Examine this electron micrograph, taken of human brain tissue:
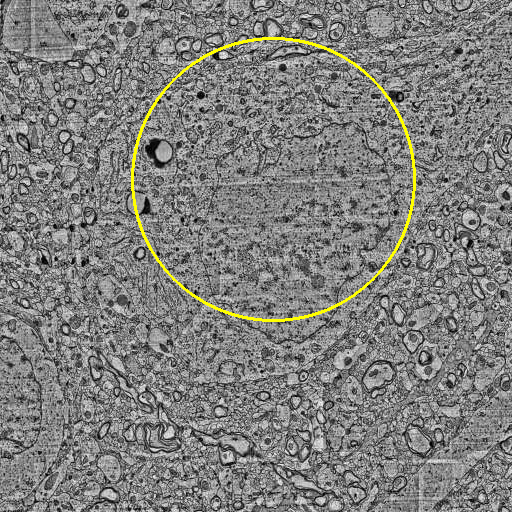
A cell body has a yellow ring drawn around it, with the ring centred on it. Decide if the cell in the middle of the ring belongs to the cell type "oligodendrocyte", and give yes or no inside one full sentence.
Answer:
No, the cell at the centre of the yellow ring in this picture is of a different type.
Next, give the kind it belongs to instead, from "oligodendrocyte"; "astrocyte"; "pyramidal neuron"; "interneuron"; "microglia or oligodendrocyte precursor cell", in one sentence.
That cell in the ring is a pyramidal neuron instead.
